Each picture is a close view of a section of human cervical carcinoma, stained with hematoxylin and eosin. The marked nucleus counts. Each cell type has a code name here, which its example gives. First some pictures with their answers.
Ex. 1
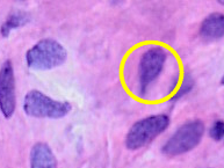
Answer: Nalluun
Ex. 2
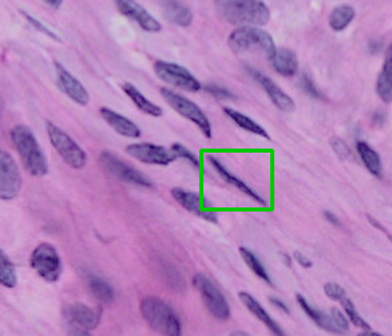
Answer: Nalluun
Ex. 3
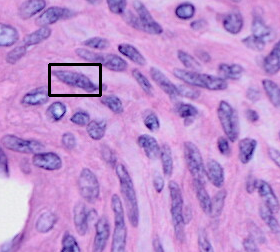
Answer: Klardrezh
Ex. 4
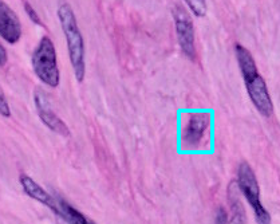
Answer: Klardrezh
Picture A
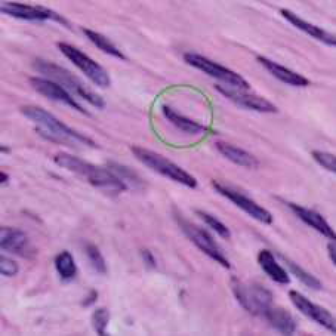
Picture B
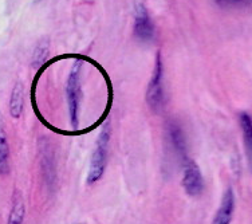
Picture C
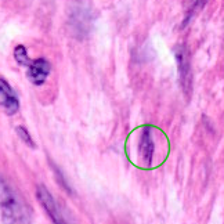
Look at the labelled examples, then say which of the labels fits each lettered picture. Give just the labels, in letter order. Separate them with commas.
Nalluun, Nalluun, Nalluun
